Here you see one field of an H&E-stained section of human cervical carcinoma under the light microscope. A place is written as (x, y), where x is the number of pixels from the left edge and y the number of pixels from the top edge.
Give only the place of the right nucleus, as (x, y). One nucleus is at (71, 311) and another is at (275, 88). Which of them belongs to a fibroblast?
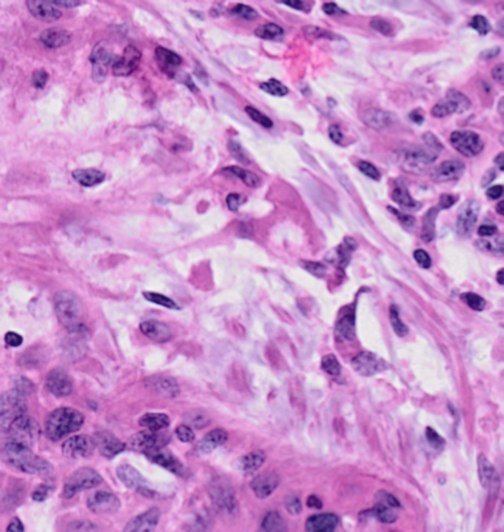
(71, 311)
